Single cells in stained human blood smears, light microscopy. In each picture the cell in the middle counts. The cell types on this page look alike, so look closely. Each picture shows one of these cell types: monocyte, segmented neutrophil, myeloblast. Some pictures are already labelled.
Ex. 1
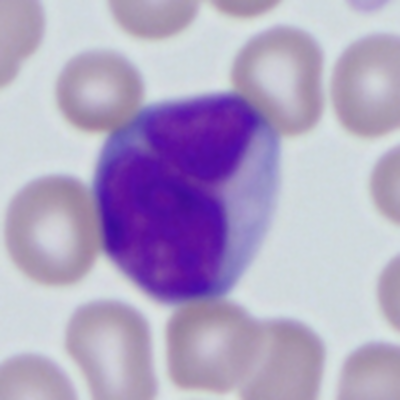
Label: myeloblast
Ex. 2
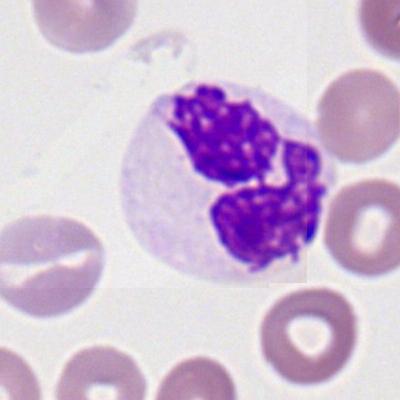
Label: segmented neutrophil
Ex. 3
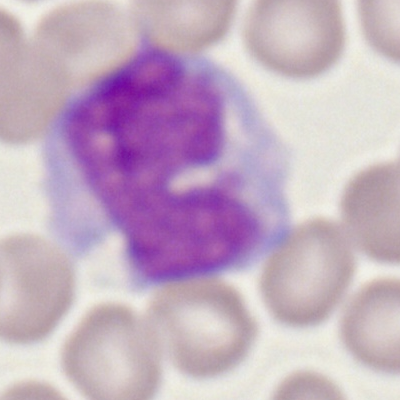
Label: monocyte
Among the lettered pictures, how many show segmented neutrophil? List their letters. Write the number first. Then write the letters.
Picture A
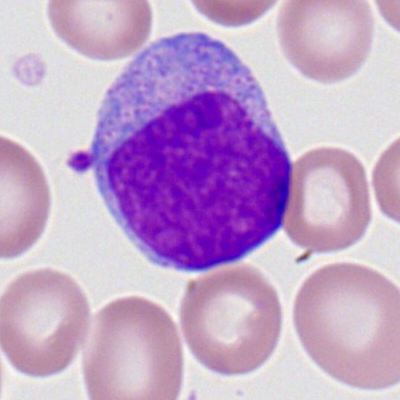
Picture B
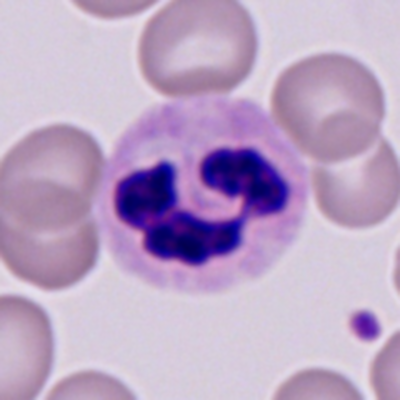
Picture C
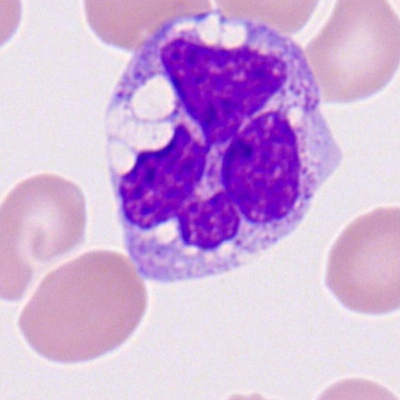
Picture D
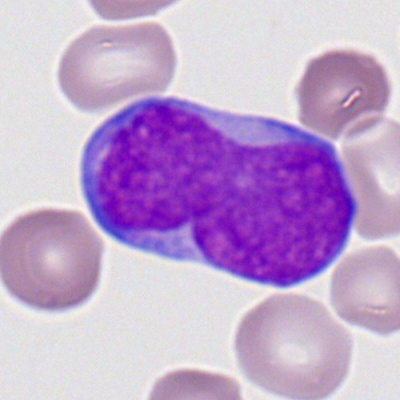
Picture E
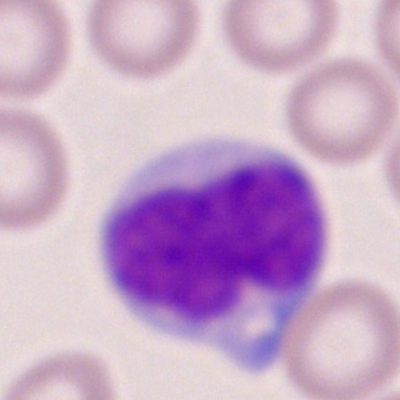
1, namely B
